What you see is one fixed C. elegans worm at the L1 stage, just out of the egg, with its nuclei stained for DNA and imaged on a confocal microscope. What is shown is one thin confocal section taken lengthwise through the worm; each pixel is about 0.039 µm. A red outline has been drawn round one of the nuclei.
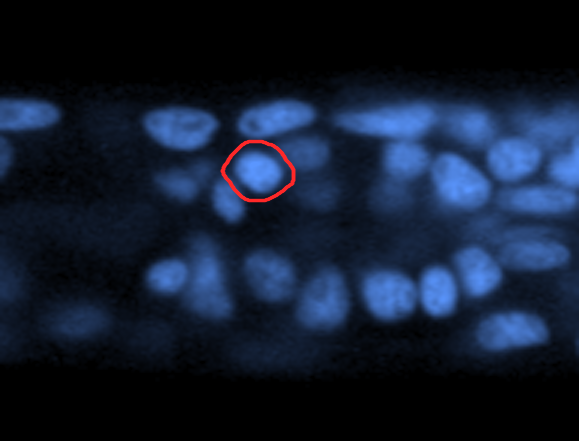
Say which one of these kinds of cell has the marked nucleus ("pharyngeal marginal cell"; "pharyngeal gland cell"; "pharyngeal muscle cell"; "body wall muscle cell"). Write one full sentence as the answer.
The marked nucleus belongs to a pharyngeal gland cell.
